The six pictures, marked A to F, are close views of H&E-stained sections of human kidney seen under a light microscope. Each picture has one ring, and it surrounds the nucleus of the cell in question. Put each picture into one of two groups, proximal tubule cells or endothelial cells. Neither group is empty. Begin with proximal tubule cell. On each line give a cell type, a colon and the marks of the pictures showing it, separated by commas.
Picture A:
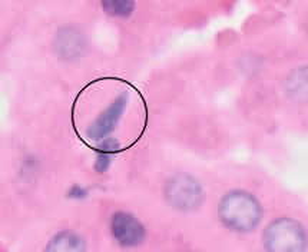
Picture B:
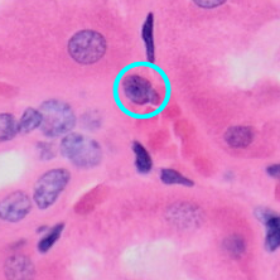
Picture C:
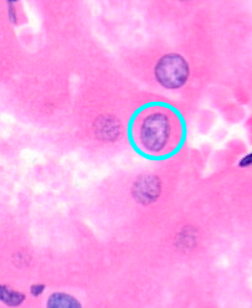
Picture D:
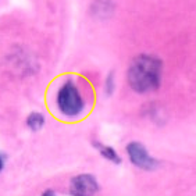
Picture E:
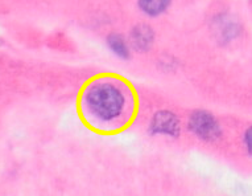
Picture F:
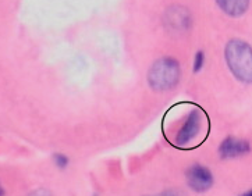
proximal tubule cell: C, E
endothelial cell: A, B, D, F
